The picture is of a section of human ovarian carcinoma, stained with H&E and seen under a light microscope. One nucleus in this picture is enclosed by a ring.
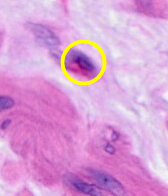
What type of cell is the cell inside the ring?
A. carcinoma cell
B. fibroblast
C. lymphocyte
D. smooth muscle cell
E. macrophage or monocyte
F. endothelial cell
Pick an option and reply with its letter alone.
F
